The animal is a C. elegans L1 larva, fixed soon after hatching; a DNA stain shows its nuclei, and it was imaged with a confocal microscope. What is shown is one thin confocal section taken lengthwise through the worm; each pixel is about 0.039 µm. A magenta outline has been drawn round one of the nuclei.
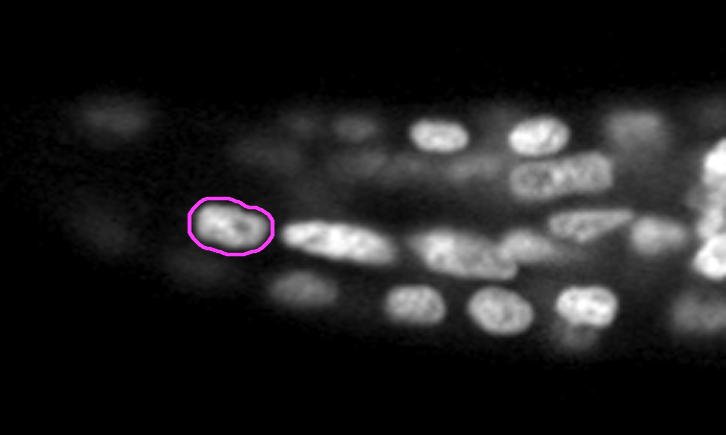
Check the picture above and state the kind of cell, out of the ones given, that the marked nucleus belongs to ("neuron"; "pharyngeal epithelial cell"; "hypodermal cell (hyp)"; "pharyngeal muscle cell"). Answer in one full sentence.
It belongs to a pharyngeal epithelial cell.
